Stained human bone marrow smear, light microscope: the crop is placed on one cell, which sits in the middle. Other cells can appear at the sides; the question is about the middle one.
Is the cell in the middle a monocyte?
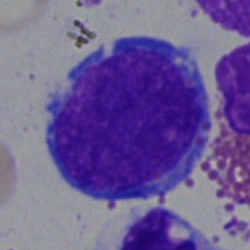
no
